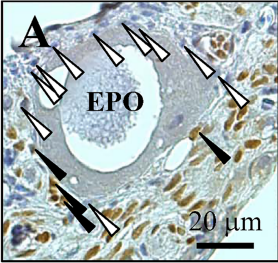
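The oocyte has pale grey-violet cytoplasm and a large round nucleus with a speckled interior. Around its rim lie flattened cells, most with blue nuclei and some with brown-stained nuclei. Beyond this layer, the surrounding tissue holds many elongated brown-stained nuclei mixed with blue ones.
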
